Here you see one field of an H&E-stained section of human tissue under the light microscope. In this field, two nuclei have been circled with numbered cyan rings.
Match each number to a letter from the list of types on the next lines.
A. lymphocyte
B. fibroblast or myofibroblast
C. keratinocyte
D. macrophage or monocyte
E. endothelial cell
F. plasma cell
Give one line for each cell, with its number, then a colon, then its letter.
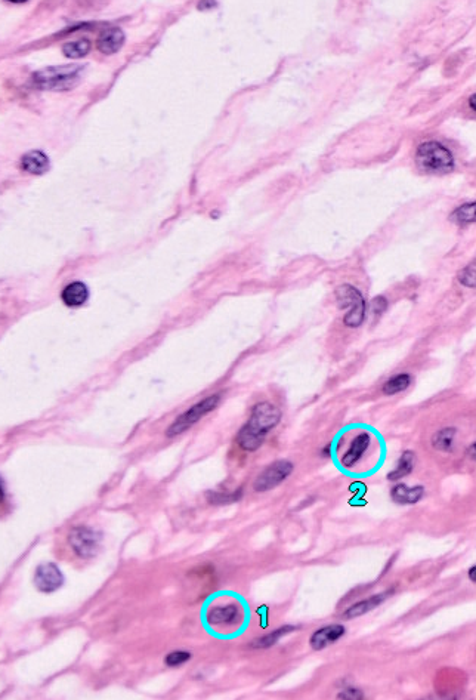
1: D
2: A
